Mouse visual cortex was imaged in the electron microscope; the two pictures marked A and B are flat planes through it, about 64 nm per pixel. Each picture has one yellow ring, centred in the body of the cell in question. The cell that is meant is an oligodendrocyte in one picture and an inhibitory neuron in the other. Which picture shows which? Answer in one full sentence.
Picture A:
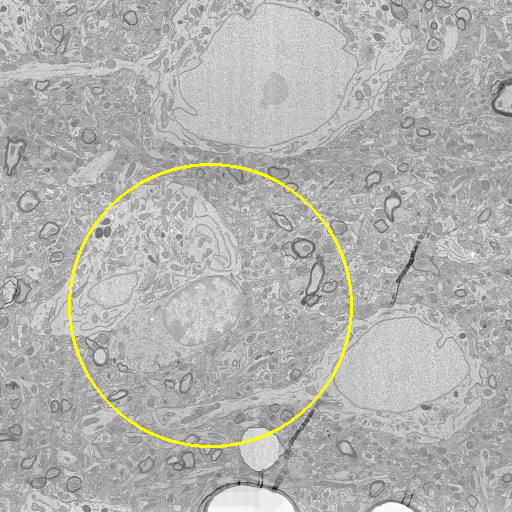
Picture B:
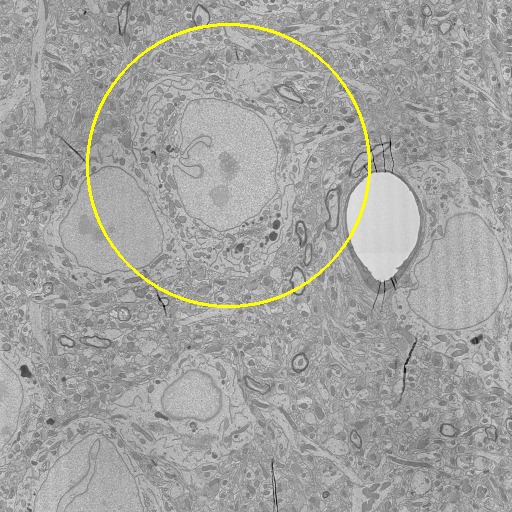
Picture A shows an oligodendrocyte and picture B shows an inhibitory neuron.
